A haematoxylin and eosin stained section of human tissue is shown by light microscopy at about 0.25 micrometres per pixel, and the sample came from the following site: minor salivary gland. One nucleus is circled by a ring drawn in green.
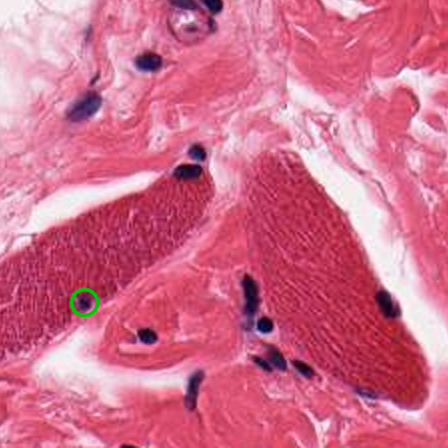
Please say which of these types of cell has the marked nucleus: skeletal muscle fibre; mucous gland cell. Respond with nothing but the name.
skeletal muscle fibre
